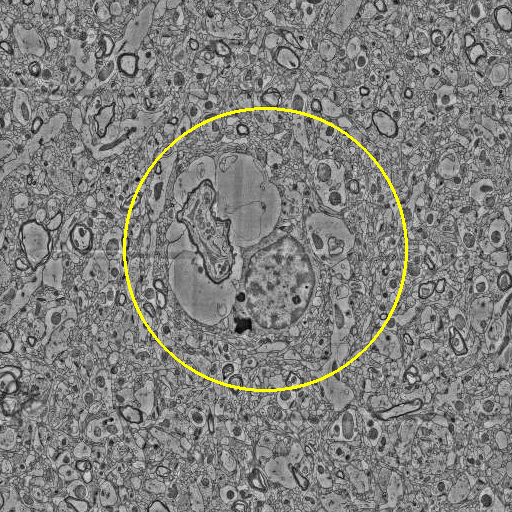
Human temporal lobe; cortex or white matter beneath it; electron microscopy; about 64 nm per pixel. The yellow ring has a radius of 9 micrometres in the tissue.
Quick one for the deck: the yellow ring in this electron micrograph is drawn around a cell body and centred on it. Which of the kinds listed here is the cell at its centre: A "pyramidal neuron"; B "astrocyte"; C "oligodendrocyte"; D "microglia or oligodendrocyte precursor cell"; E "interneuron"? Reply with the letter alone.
C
